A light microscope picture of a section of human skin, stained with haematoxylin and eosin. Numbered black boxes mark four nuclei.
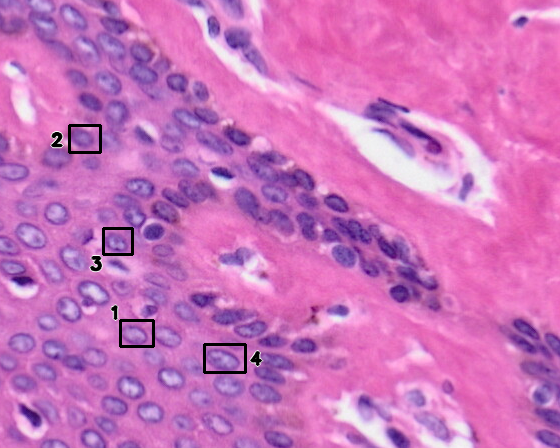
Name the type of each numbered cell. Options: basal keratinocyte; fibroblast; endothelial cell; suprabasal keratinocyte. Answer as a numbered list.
1. suprabasal keratinocyte
2. basal keratinocyte
3. suprabasal keratinocyte
4. suprabasal keratinocyte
